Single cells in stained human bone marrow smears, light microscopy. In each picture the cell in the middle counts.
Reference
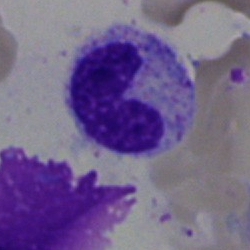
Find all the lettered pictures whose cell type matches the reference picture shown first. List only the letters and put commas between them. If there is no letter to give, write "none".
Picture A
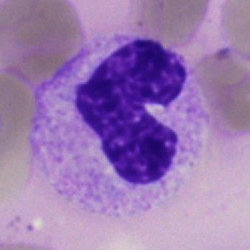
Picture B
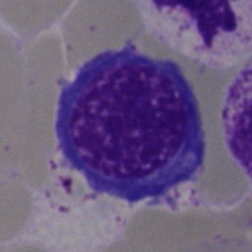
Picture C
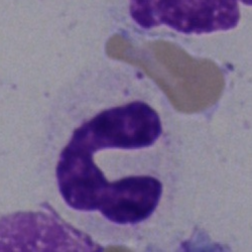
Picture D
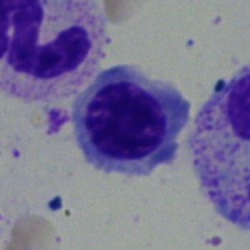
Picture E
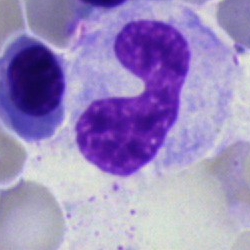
A, C, E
